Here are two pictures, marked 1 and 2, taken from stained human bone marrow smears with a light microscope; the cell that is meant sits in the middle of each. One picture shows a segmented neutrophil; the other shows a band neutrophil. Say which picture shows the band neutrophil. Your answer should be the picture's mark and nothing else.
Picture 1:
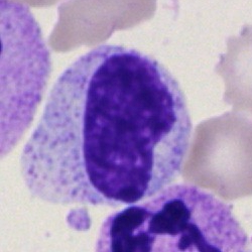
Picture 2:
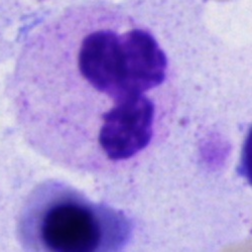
1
